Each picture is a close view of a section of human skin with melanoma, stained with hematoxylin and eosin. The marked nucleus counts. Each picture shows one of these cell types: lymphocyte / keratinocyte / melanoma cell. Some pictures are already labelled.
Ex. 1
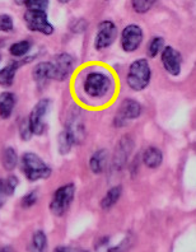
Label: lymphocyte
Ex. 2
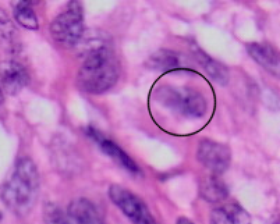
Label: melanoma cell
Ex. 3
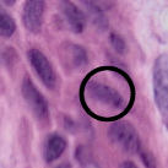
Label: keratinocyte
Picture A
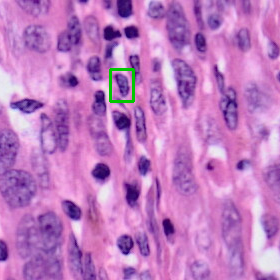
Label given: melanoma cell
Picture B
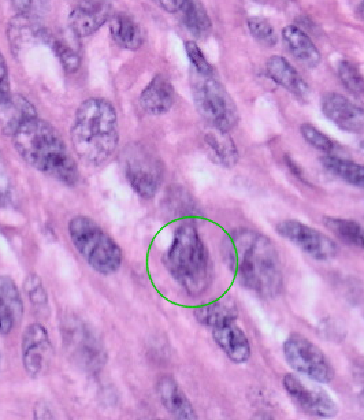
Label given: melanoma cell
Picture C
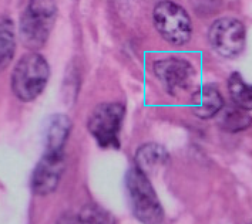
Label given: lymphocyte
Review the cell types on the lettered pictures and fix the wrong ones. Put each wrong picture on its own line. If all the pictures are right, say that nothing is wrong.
Wrong: A (melanoma cell); correct: lymphocyte
Wrong: C (lymphocyte); correct: melanoma cell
